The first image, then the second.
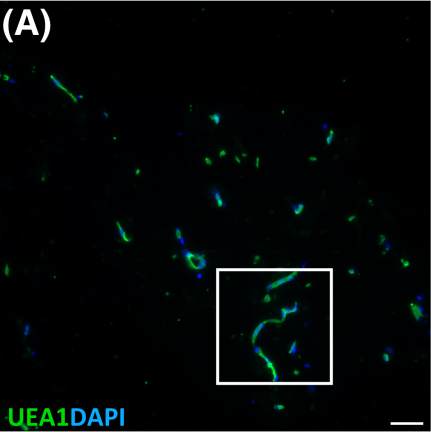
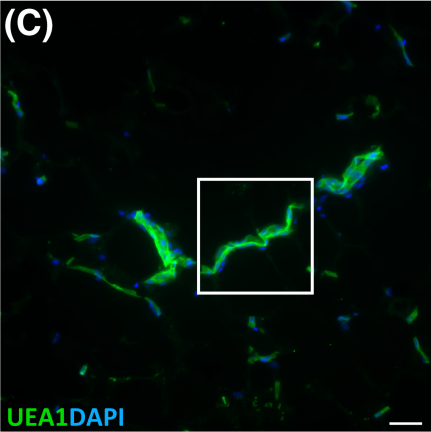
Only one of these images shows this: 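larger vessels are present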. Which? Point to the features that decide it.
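Second image: thick, branching green vessels run across the field.
Answer: the second image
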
